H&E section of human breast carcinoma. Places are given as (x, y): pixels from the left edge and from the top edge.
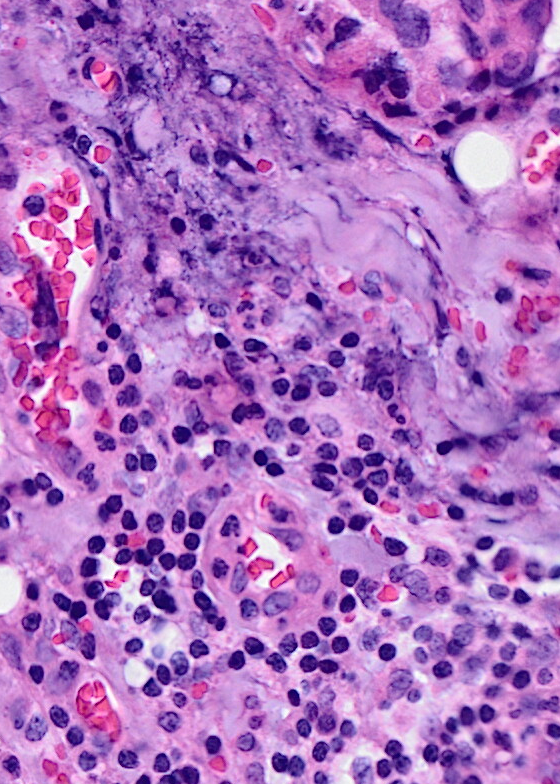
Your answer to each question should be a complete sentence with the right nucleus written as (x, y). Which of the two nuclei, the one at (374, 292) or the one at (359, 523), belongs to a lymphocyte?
Heads up, the nucleus at (359, 523) is the one that belongs to a lymphocyte.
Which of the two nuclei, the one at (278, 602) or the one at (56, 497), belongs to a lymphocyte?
The nucleus at (56, 497), rather than the other one, belongs to a lymphocyte.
